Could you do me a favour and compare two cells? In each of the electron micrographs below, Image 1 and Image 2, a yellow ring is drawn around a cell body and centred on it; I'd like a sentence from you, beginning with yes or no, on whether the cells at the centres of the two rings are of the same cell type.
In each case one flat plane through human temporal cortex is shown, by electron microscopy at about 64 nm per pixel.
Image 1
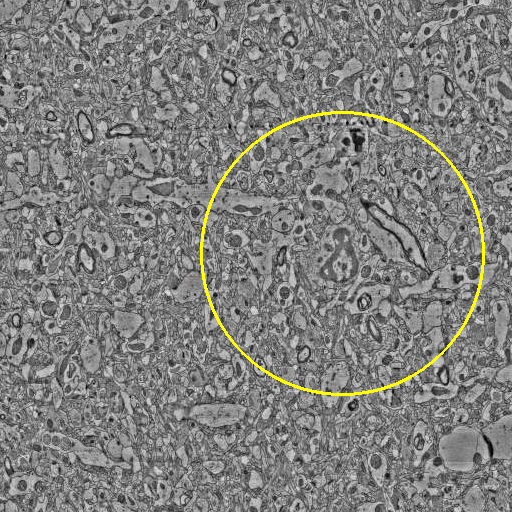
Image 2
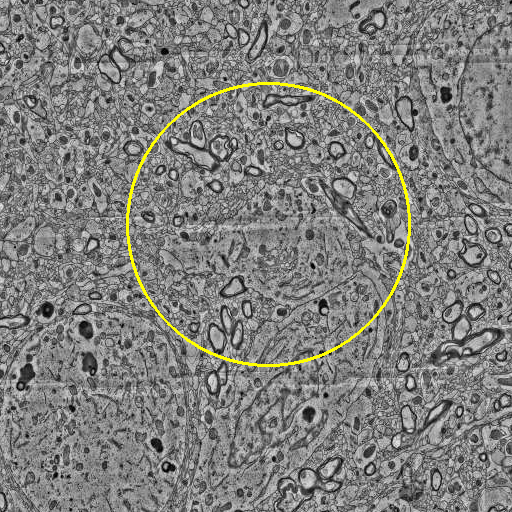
No, the two cells are of two cell types.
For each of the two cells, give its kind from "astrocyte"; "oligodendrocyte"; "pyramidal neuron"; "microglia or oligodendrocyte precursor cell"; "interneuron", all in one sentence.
The first picture has a microglial cell or oligodendrocyte precursor cell in its ring, the second has an interneuron.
